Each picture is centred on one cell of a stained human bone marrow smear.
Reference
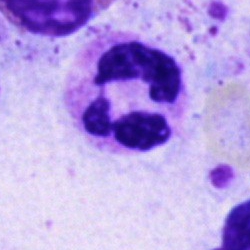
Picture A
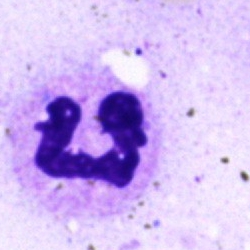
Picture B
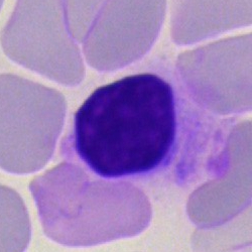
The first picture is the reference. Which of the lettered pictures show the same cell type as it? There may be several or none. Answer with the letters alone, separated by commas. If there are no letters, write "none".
A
